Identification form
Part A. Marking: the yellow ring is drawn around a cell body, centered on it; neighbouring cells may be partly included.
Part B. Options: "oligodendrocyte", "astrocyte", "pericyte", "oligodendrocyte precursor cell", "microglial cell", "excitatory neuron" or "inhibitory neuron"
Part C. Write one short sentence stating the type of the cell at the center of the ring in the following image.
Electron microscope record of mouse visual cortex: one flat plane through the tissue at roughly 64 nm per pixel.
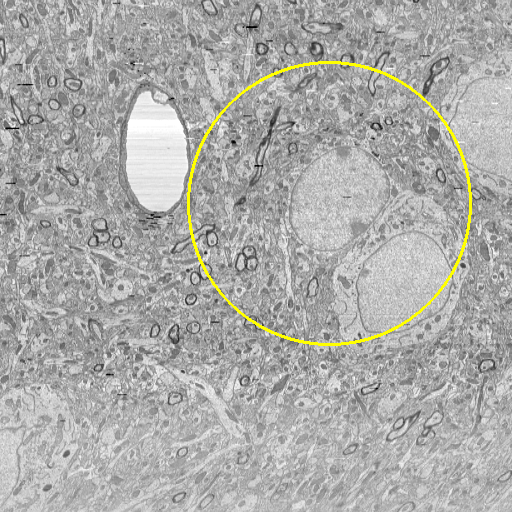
The center of the ring holds an astrocyte.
